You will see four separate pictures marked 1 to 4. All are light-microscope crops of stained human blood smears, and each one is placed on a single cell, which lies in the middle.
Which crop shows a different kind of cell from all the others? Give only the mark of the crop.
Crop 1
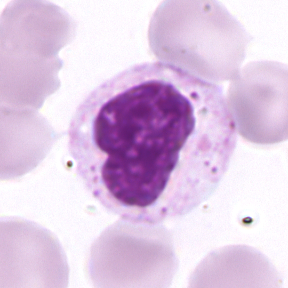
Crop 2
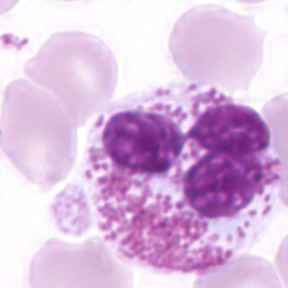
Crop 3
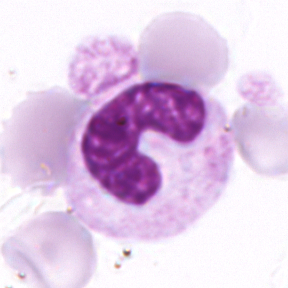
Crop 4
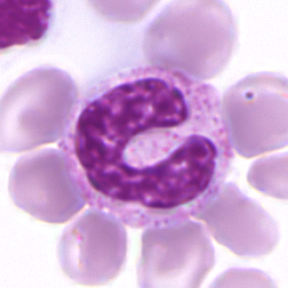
2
